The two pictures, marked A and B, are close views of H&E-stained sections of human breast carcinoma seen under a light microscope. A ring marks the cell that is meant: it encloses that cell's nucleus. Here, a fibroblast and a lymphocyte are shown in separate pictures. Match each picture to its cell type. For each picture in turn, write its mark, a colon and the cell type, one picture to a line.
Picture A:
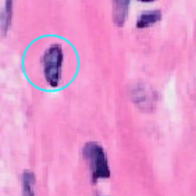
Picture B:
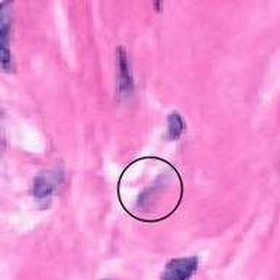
A: lymphocyte
B: fibroblast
